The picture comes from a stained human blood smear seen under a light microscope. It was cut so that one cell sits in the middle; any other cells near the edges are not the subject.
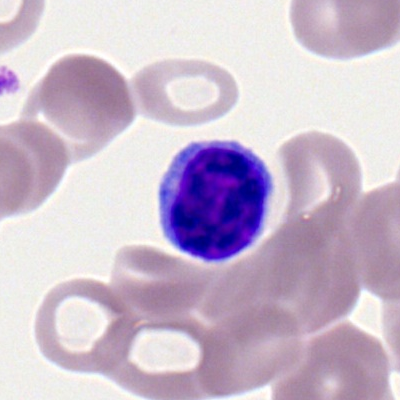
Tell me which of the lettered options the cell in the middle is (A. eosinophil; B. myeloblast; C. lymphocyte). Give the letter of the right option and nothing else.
C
